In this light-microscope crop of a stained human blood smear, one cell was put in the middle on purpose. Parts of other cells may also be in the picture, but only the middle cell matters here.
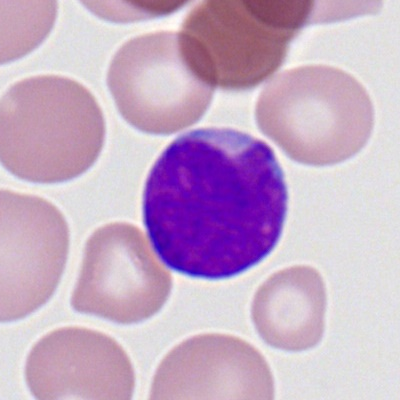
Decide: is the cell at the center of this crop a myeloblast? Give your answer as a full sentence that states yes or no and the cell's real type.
Yes, the cell sitting in the middle of this smear crop is a myeloblast.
